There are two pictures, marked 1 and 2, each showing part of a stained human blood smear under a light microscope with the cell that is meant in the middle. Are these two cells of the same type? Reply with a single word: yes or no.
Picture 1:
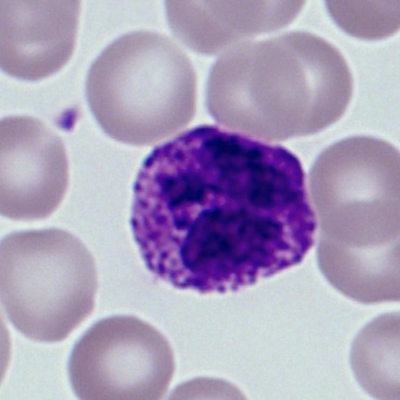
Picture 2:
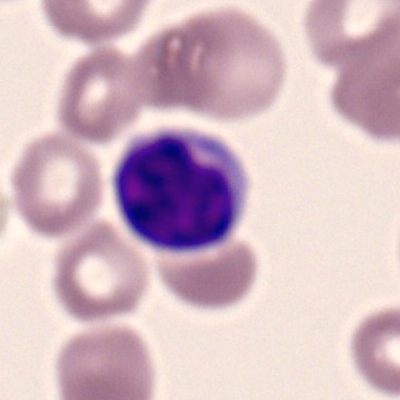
no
